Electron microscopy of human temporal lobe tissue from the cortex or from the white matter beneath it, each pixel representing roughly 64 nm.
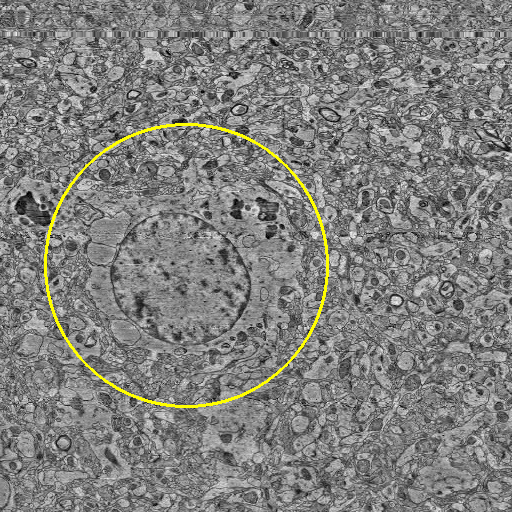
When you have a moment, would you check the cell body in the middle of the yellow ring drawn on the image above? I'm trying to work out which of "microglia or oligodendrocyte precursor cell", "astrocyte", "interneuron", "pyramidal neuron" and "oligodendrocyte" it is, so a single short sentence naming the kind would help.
This cell body belongs to an astrocyte.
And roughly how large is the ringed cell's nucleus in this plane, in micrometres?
About 9 micrometres across in this plane, for the nucleus.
